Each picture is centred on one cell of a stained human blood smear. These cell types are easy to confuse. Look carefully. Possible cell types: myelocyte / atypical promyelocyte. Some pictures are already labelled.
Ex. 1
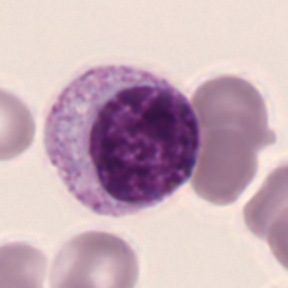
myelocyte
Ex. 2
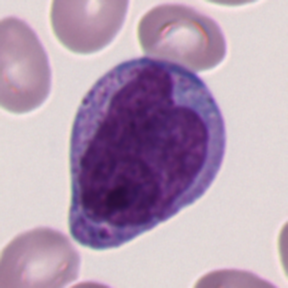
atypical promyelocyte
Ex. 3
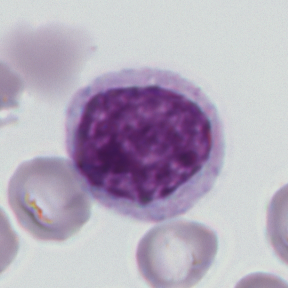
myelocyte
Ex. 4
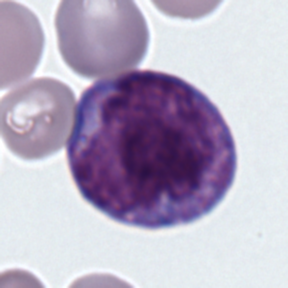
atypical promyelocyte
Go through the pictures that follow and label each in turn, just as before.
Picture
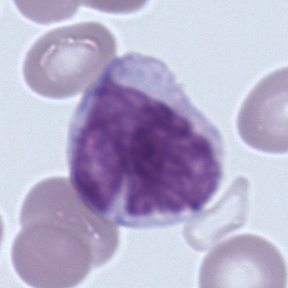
atypical promyelocyte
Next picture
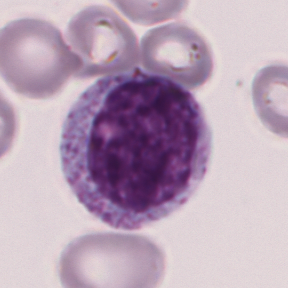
myelocyte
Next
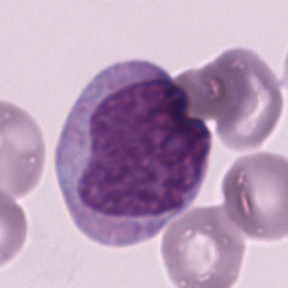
atypical promyelocyte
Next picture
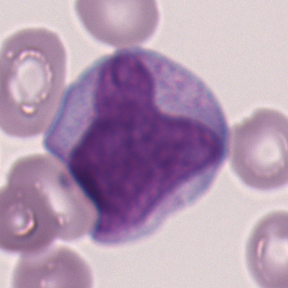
atypical promyelocyte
